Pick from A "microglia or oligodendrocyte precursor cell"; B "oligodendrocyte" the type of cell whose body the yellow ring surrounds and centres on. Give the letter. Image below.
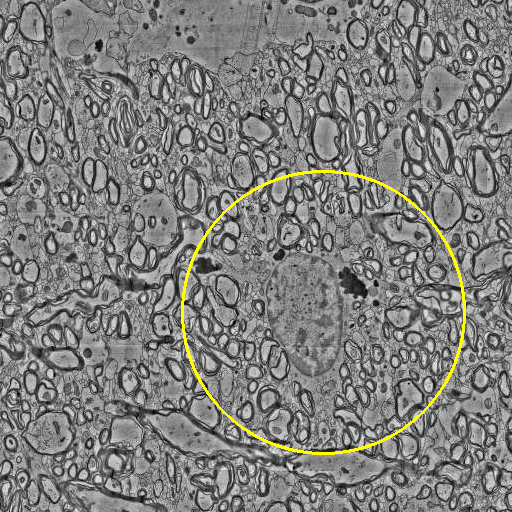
B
